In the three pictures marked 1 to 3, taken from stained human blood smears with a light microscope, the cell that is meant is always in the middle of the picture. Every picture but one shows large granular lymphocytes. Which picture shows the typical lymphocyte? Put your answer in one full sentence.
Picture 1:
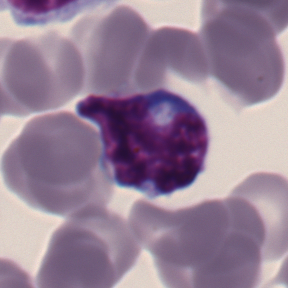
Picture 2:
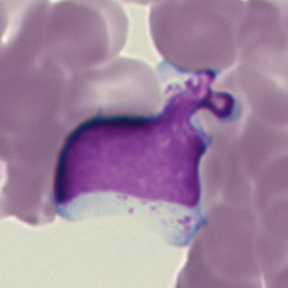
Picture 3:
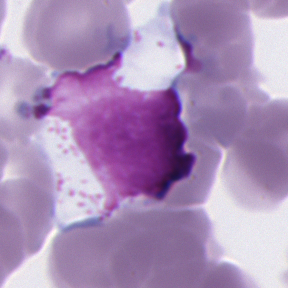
Picture 1 is the one that shows the typical lymphocyte.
